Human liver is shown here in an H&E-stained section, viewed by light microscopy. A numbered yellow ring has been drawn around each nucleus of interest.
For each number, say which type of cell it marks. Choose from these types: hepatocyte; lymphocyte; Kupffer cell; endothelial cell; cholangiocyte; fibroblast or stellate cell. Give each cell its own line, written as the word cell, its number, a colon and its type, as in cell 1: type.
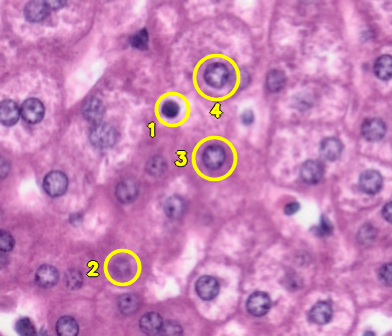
cell 1: lymphocyte
cell 2: hepatocyte
cell 3: hepatocyte
cell 4: hepatocyte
